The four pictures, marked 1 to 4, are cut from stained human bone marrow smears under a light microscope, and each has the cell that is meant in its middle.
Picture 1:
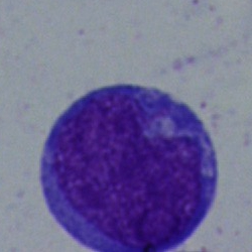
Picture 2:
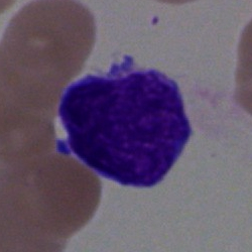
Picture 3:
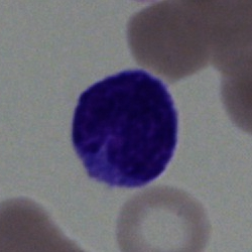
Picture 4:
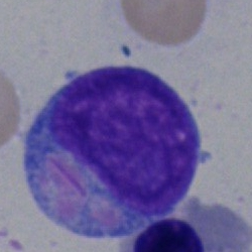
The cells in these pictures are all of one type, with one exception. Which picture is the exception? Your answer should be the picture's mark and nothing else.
3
